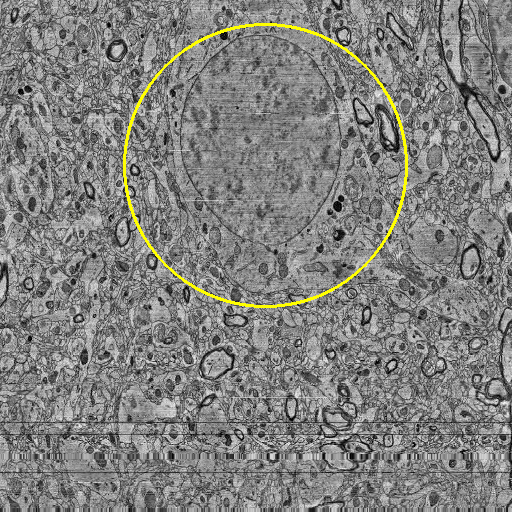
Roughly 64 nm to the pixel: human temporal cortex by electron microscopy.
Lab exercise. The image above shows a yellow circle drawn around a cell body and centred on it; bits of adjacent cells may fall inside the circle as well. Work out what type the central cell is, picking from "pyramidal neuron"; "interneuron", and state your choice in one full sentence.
In the image above, the cell at the centre of the yellow circle is a pyramidal neuron.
